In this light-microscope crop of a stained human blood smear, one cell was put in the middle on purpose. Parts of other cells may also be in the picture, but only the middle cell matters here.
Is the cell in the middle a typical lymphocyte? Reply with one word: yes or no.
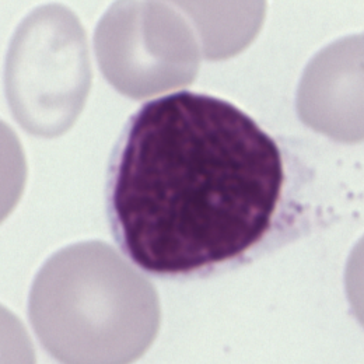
no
